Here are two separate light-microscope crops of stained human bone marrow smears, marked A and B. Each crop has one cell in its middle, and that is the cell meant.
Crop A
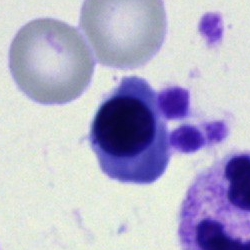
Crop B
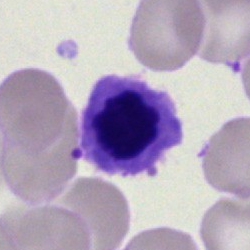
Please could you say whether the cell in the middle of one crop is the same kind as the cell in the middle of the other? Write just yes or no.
yes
